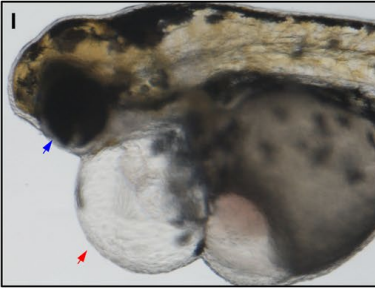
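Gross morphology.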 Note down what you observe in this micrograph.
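This is the head and anterior trunk of a zebrafish larva seen from the side. The most striking feature is a large, clear, balloon-like sac hanging below the head and in front of the dark yolk, the swollen pericardial region, whose thin wall encloses mostly transparent fluid. Black, branched pigment cells are scattered over the head, the trunk and the yolk. The yolk itself is large and granular, with a pinkish tint at its front edge next to the swelling.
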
